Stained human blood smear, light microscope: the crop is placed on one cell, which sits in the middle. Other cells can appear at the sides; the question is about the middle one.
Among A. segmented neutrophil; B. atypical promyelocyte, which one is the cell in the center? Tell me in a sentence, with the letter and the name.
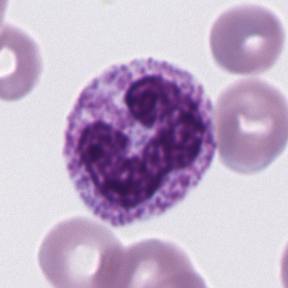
Option A is the right one, for the cell in the middle is a segmented neutrophil.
